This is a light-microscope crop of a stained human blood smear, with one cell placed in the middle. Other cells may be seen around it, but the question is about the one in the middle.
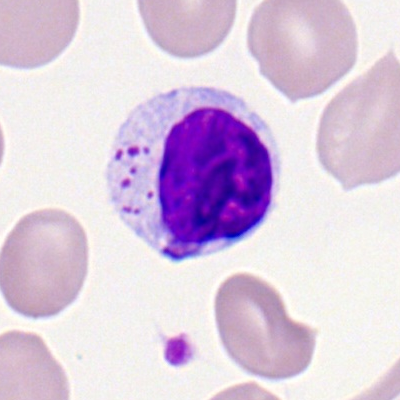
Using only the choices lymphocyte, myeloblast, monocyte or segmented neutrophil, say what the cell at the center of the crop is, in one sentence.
The cell under consideration, at the middle of the crop, is a lymphocyte.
